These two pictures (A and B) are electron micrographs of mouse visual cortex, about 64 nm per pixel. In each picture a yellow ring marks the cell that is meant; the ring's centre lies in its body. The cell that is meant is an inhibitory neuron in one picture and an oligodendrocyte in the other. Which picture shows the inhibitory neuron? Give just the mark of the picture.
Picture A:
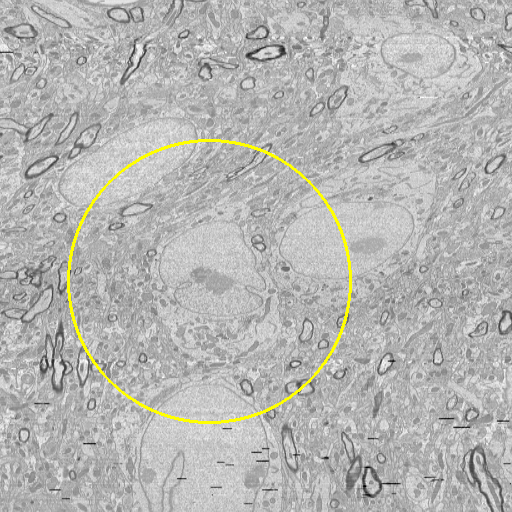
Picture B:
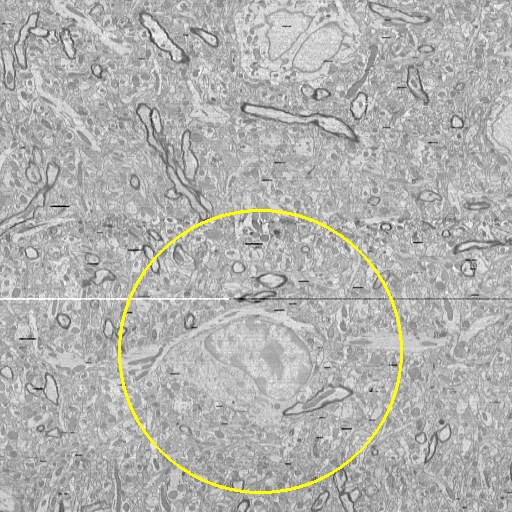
A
